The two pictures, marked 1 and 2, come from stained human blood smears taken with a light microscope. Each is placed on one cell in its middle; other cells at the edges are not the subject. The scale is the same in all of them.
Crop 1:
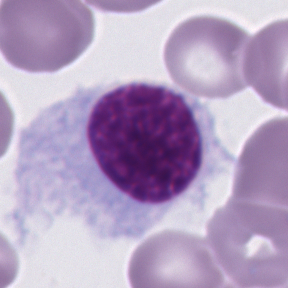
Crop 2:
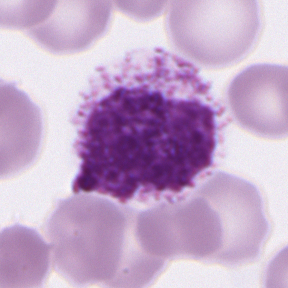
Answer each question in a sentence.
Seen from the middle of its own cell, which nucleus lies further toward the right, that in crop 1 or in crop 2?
Seen within its cell, the nucleus in crop 1 lies further toward the right.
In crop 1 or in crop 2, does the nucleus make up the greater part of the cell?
Of the two, the nucleus in crop 2 makes up the greater part of its cell.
